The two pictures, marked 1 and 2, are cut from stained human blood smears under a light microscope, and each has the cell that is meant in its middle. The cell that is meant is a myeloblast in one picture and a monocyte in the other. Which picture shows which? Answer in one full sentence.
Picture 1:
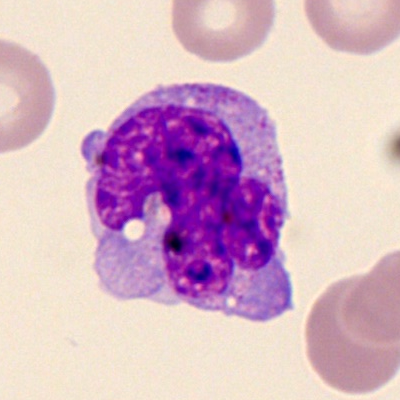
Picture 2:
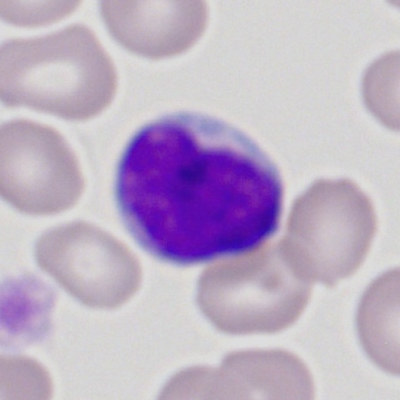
The cell in picture 1 is a monocyte, and the one in picture 2 is a myeloblast.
